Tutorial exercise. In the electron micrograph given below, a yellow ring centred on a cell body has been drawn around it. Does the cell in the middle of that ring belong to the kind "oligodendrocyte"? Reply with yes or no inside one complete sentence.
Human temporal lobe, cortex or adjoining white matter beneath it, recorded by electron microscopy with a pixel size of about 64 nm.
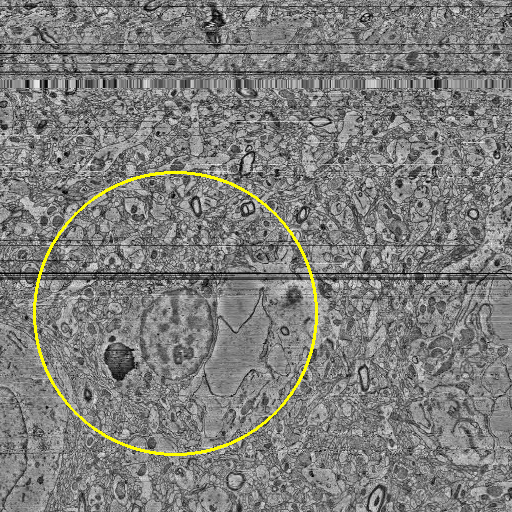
Yes, the cell at the centre of the ring in the picture is of that kind.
